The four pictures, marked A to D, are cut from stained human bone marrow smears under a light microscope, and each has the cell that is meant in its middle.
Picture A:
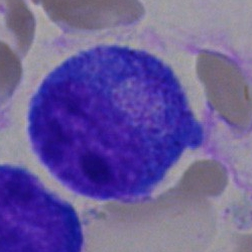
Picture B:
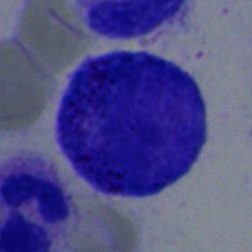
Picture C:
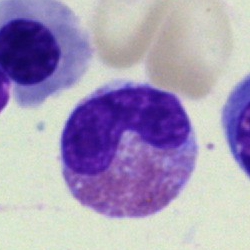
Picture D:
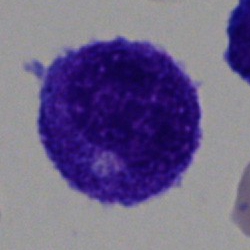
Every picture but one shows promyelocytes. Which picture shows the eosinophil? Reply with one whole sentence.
The cell in picture C is the eosinophil.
